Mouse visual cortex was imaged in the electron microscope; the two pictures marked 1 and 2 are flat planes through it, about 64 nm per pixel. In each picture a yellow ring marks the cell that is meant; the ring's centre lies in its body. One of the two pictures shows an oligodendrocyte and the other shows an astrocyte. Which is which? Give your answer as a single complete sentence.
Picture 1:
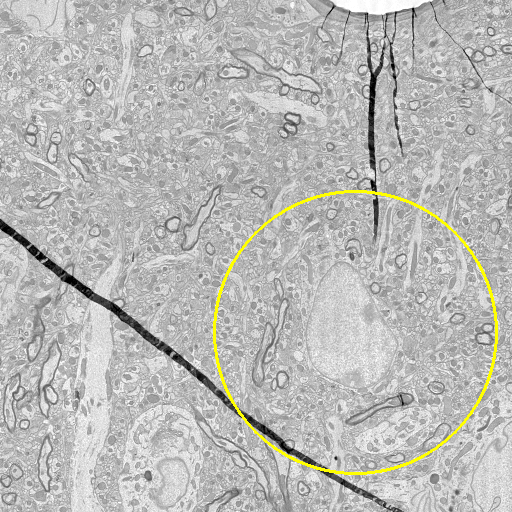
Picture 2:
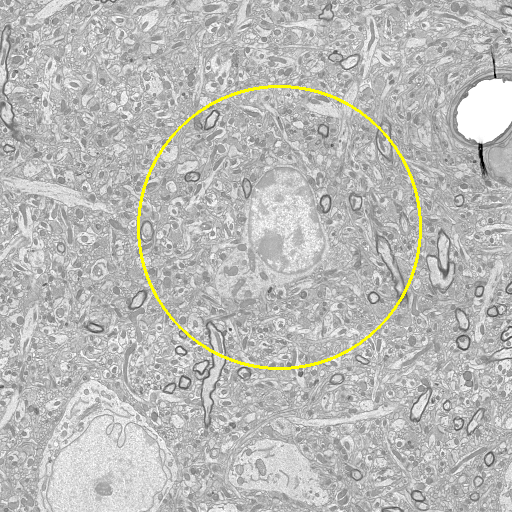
Picture 2 shows an oligodendrocyte, while picture 1 shows an astrocyte.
